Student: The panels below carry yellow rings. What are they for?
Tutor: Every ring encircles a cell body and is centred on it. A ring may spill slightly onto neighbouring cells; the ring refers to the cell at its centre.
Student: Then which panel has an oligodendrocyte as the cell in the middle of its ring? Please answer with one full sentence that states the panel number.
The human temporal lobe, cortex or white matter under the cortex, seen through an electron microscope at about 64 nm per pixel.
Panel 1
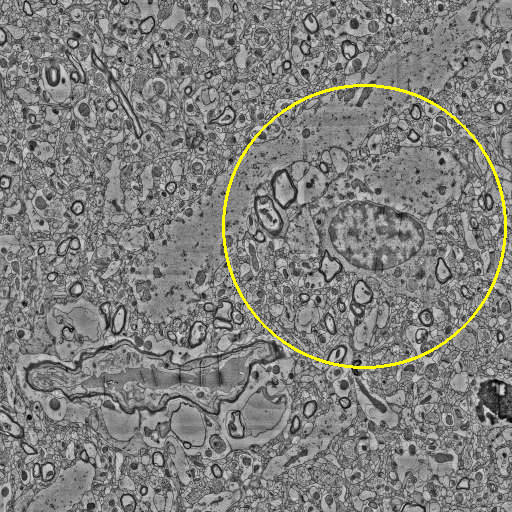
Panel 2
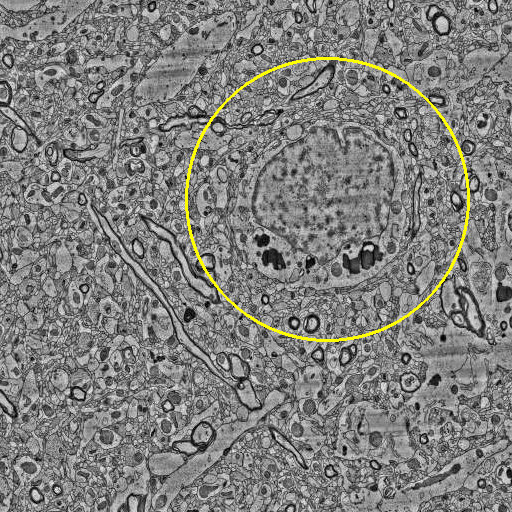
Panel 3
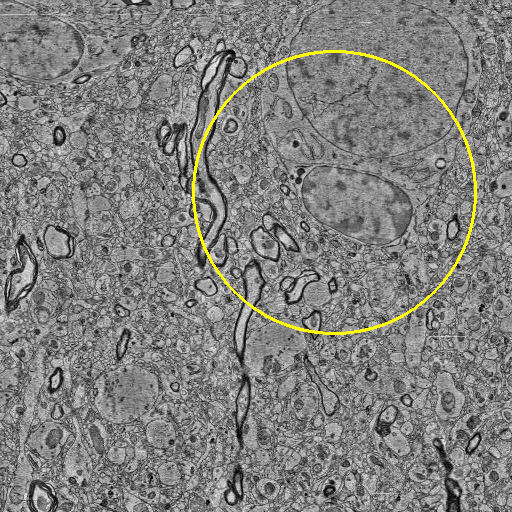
In Panel 1, the cell centred in the ring is the one sought.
